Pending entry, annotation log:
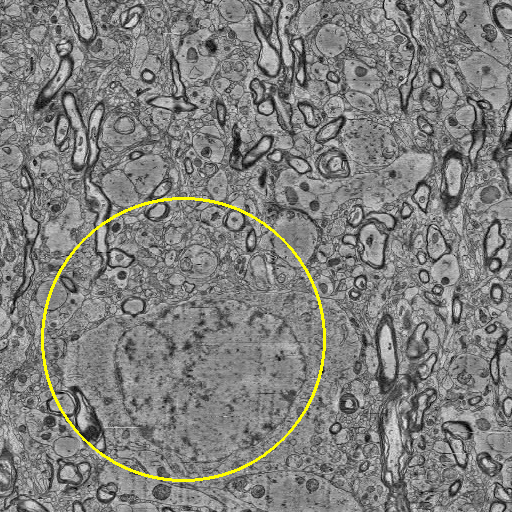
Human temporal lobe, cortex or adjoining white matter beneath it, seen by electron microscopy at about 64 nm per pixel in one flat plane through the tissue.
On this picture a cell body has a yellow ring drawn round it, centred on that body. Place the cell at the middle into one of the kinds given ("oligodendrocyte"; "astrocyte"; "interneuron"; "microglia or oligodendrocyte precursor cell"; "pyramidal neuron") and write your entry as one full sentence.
The cell body at the middle of the yellow ring belongs to an interneuron.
